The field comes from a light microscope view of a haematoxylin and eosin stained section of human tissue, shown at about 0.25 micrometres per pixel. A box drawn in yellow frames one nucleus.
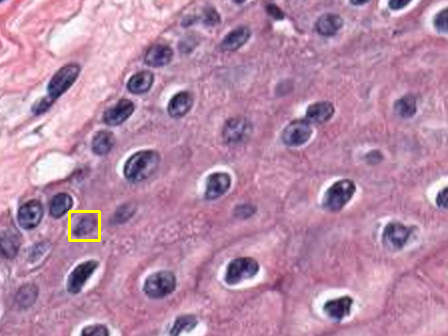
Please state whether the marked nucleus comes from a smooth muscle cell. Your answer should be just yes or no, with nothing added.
no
